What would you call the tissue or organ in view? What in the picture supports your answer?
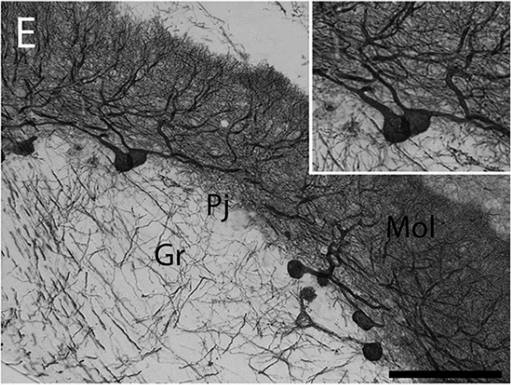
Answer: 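A single row of large, dark, flask-shaped cell bodies separates two layers. Thick dendrites branch fan-like from these cell bodies into a dense outer layer. The inner layer is pale, crossed by thin dark fibres. That points to this answer: cerebellar cortex.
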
